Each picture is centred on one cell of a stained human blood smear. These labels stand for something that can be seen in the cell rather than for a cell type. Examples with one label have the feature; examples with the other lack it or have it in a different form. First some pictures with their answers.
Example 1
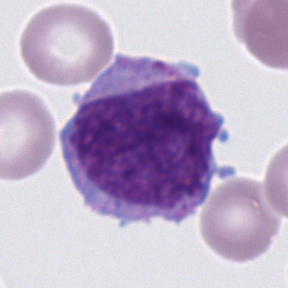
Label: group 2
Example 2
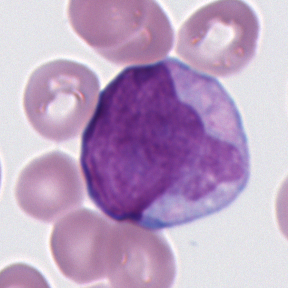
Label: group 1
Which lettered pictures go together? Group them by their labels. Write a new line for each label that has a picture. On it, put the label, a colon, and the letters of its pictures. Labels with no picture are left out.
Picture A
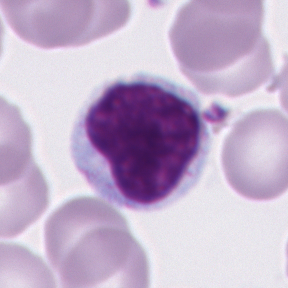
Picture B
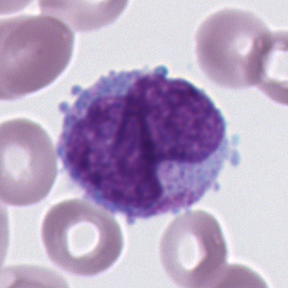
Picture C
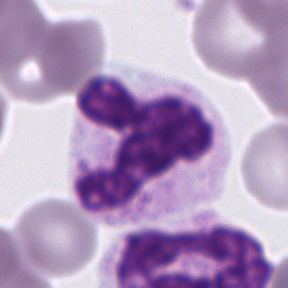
group 2: B
group 1: A, C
